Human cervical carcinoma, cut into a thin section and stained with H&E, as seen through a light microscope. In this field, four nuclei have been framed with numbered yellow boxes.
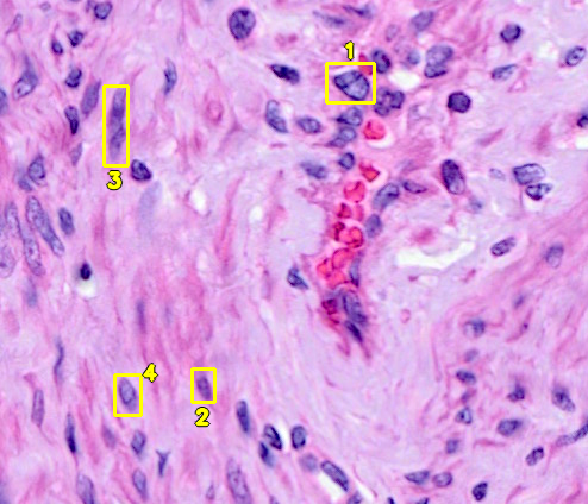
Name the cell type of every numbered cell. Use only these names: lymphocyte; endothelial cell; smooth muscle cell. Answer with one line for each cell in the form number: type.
1: endothelial cell
2: smooth muscle cell
3: smooth muscle cell
4: smooth muscle cell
